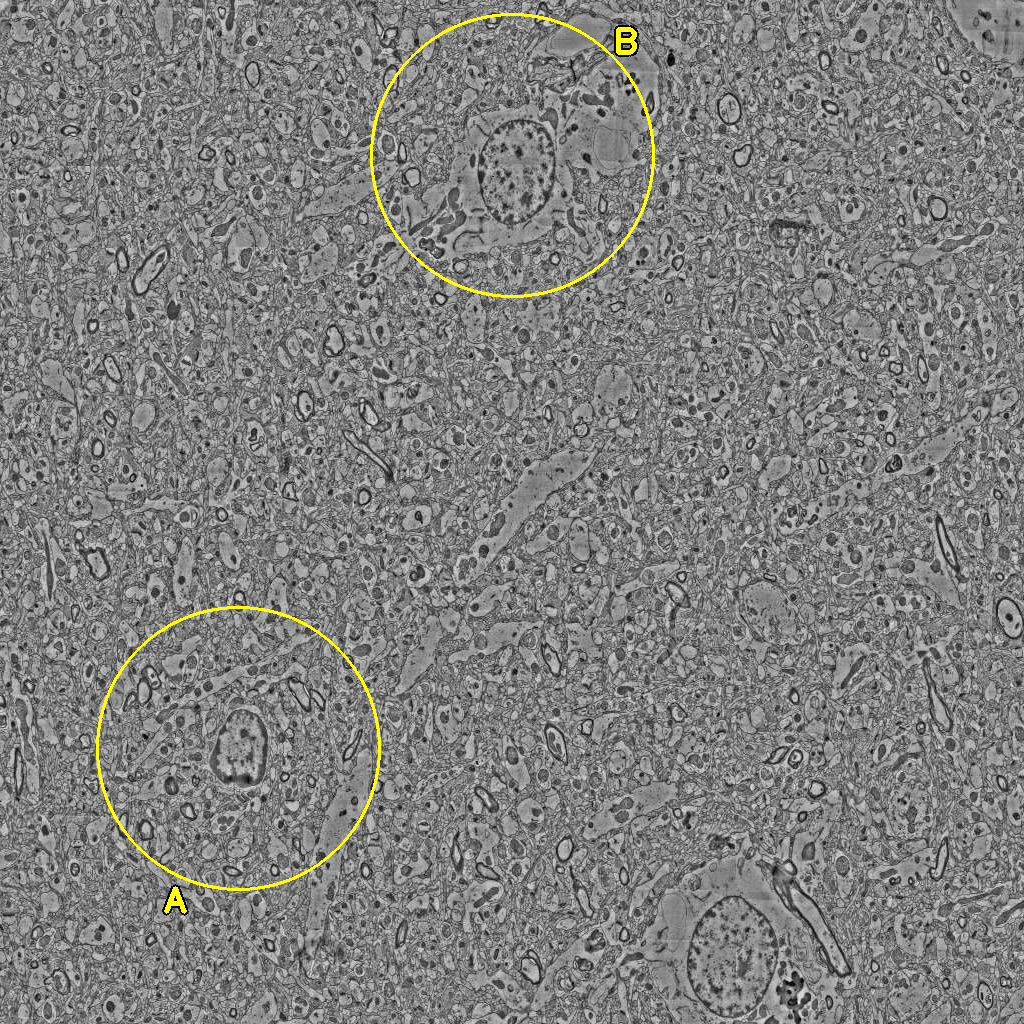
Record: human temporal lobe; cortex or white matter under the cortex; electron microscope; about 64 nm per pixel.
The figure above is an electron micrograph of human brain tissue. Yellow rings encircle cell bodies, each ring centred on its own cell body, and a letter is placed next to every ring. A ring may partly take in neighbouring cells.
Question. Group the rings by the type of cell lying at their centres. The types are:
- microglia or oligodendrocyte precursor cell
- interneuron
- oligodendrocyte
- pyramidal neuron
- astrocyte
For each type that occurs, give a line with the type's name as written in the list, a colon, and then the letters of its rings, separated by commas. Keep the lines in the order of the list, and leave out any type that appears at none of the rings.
microglia or oligodendrocyte precursor cell: A
astrocyte: B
